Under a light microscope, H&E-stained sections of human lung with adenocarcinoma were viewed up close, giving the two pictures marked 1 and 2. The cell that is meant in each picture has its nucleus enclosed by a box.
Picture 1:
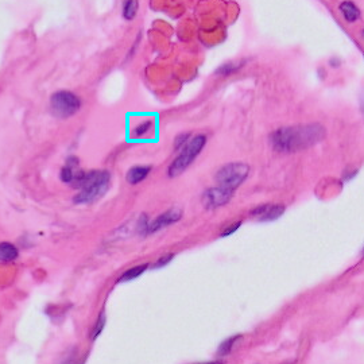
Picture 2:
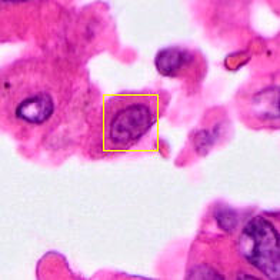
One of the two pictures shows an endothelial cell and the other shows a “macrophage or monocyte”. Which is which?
1: endothelial cell
2: macrophage or monocyte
